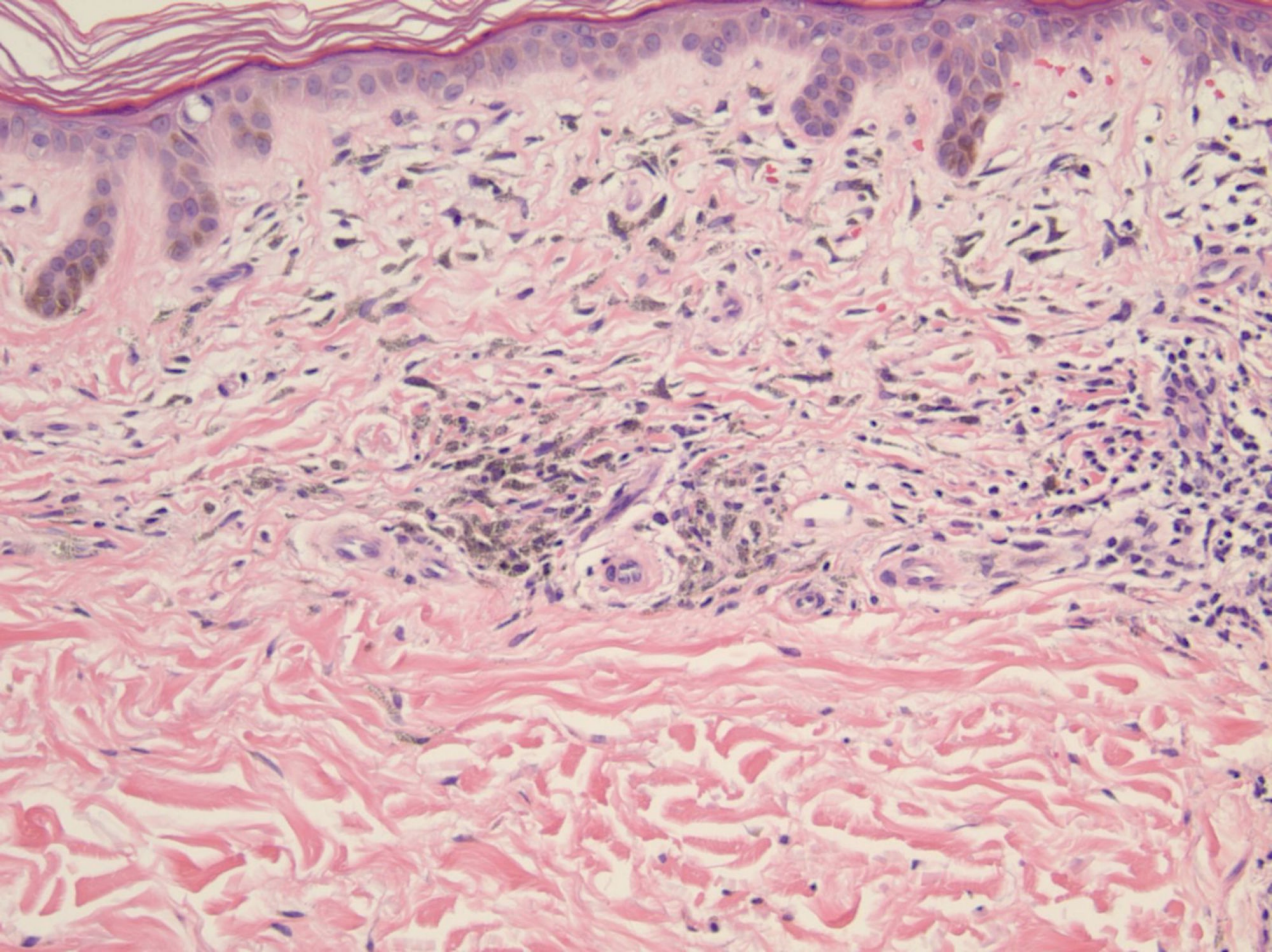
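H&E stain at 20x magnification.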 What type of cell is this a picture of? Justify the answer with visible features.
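Many dermal cells hold coarse brown-black granules in their cytoplasm. The pigment-laden cells cluster around small dermal vessels. The cells are scattered in the dermis below the epidermis, not within the epidermis.
Hence: pigment containing, perivascular macrophages.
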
